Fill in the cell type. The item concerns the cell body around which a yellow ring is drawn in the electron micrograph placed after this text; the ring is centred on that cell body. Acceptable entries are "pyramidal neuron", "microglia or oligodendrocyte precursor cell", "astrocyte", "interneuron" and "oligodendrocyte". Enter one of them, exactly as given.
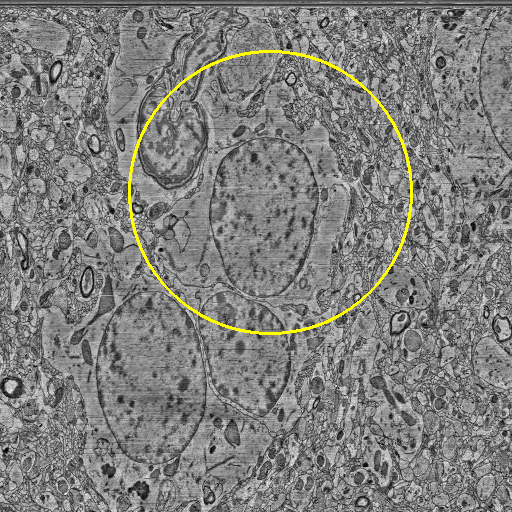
astrocyte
